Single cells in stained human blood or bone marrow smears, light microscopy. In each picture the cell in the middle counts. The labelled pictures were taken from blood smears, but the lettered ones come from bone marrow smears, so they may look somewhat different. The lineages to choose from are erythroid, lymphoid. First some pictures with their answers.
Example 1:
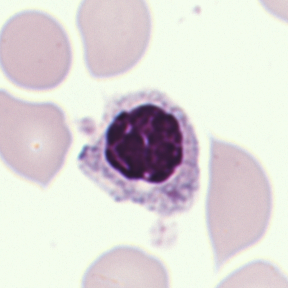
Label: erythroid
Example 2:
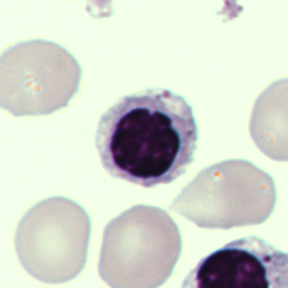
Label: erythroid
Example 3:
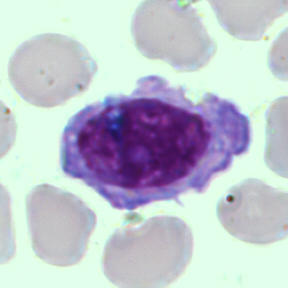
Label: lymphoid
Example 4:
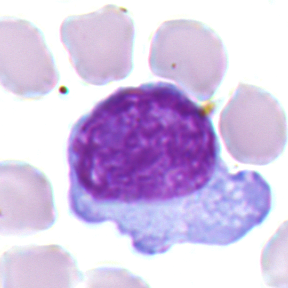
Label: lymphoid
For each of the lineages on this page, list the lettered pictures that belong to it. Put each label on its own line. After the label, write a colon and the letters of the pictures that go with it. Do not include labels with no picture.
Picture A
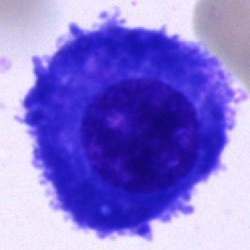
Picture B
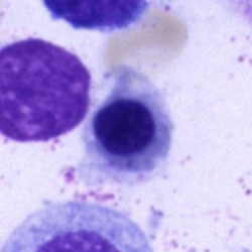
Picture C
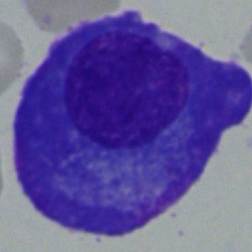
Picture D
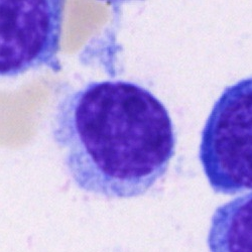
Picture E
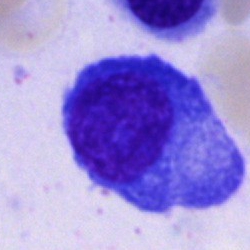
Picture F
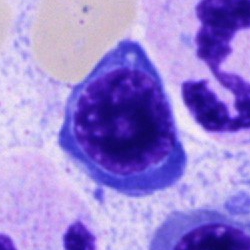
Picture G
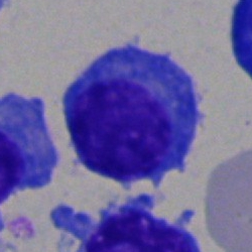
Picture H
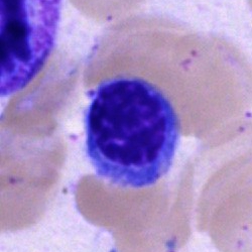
erythroid: B, F, H
lymphoid: A, C, D, E, G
